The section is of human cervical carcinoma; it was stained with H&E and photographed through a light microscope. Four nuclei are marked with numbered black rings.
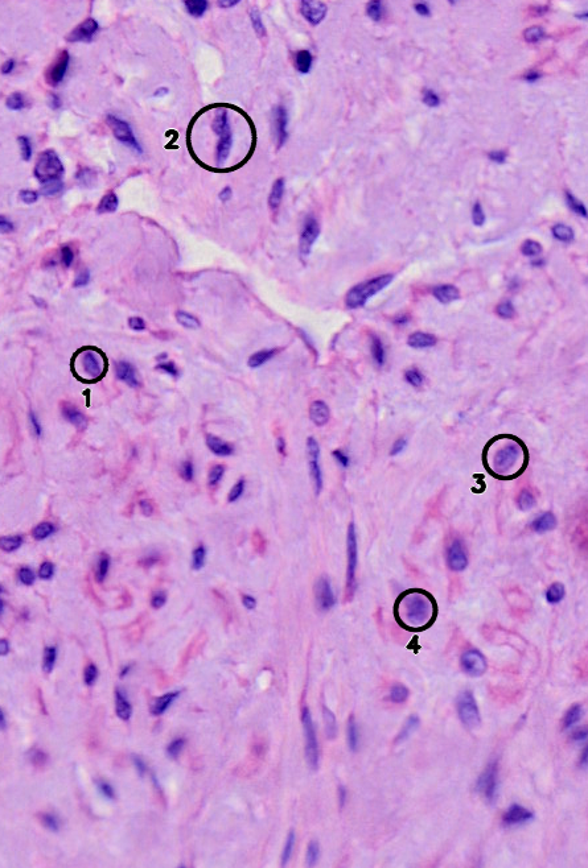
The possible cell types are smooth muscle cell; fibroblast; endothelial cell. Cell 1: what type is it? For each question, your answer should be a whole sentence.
Classified as a smooth muscle cell is the cell with the number 1.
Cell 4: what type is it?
The cell tagged with 4 in this tissue section is a smooth muscle cell.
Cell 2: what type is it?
The cell marked with the number 2 is a fibroblast.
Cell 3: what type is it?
Numbered cell 3 is a smooth muscle cell in this tissue section.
